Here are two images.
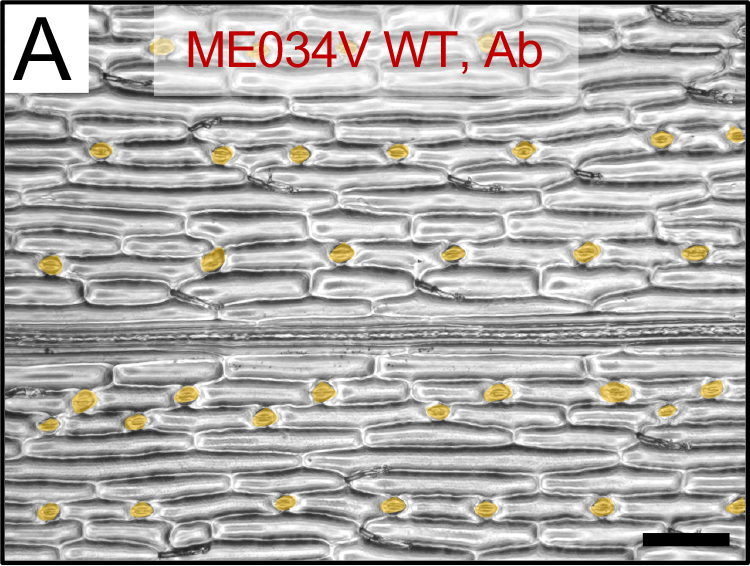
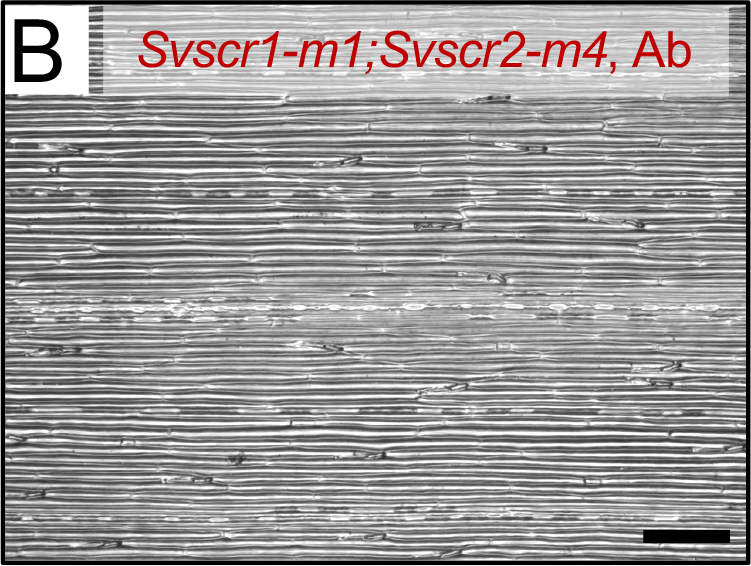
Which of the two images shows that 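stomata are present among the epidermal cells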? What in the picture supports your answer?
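The first image. Second image: only long narrow epidermal cells in parallel files, no small paired pores. First image: many small orange oval pores lie in files among the epidermal cells.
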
